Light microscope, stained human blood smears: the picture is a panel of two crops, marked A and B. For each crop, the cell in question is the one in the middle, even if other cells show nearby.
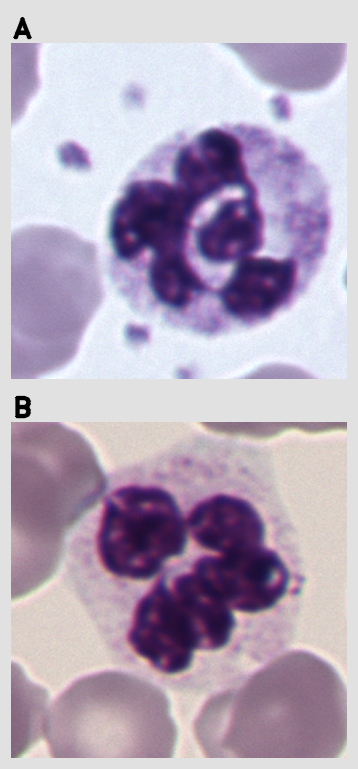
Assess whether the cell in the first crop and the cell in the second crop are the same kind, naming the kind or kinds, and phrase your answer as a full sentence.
Yes, the cells that the two crops centre on are segmented neutrophils.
